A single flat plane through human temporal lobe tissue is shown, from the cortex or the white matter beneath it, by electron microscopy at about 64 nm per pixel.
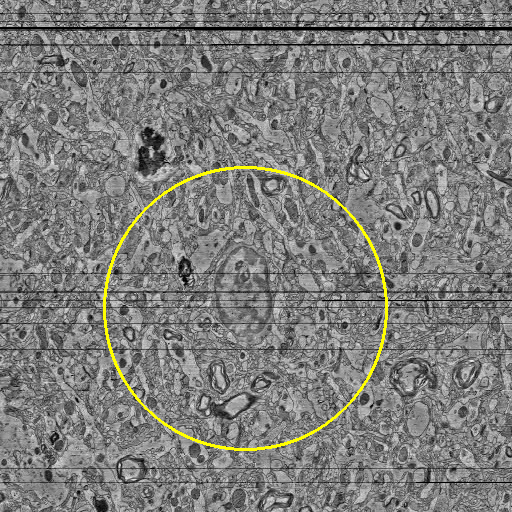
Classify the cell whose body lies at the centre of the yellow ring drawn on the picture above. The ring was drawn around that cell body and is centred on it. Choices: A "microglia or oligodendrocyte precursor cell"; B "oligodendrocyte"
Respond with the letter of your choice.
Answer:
B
